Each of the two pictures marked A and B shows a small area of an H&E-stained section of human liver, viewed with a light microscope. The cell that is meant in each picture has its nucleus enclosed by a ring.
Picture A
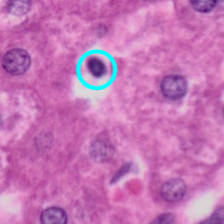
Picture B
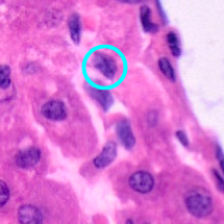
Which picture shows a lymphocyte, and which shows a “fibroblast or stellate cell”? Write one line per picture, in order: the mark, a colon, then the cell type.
A: lymphocyte
B: fibroblast or stellate cell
